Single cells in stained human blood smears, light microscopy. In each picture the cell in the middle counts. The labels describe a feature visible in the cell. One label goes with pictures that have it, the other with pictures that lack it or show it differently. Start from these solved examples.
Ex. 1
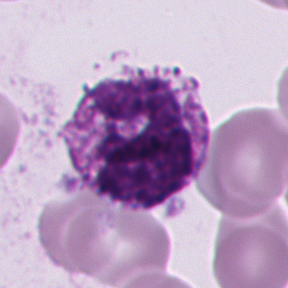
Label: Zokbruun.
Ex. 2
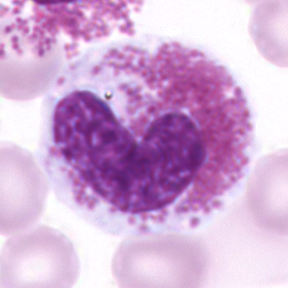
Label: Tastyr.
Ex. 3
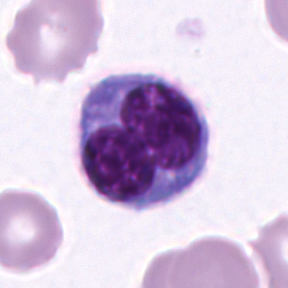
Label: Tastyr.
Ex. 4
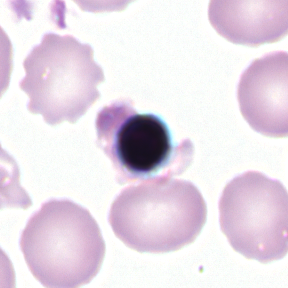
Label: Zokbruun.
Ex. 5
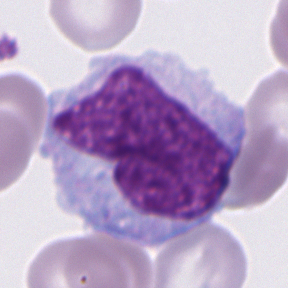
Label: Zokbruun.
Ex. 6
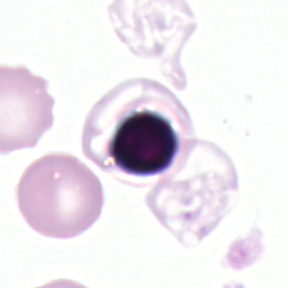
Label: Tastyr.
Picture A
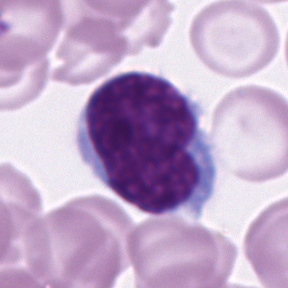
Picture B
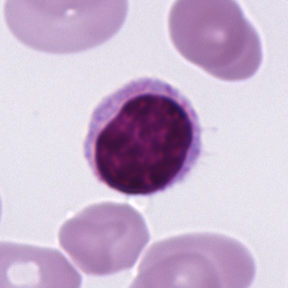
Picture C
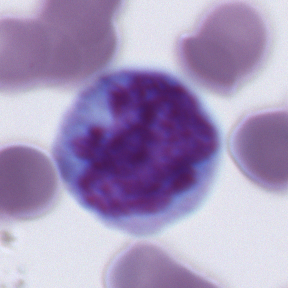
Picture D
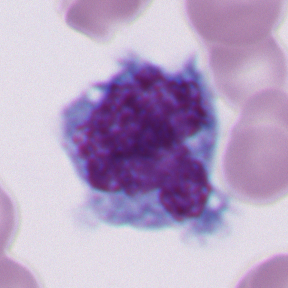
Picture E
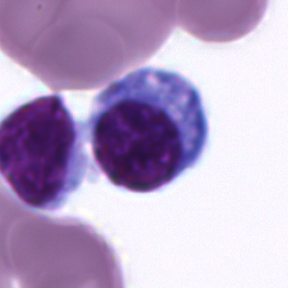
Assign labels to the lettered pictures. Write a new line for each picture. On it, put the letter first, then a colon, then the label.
A: Zokbruun.
B: Zokbruun.
C: Tastyr.
D: Zokbruun.
E: Tastyr.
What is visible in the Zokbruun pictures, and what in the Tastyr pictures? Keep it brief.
Zokbruun: ragged outline or projections; Tastyr: smooth outline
